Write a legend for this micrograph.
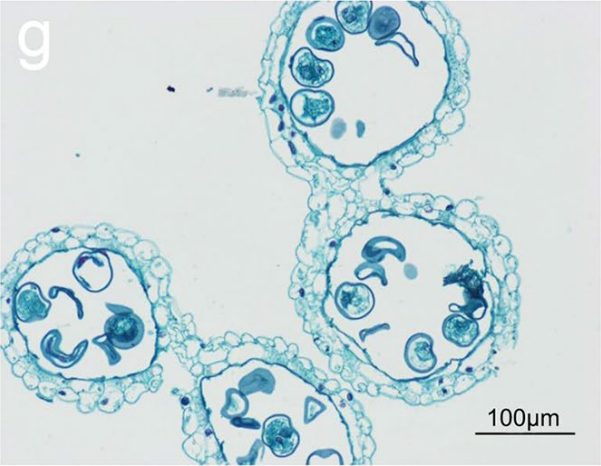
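Here are four anther locules cut across. Each is a rounded chamber walled by a layer or two of thin, vacuolated cells stained pale blue-green. The chamber walls are closed, with no opening to be seen. Inside each chamber lie only a few pollen grains, and these are not round and full. Many are collapsed into crescent or cup shapes, and some show a shrunken mass of contents pulled away from a thin outer wall. Others are small and pale. Much of each chamber is empty space.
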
